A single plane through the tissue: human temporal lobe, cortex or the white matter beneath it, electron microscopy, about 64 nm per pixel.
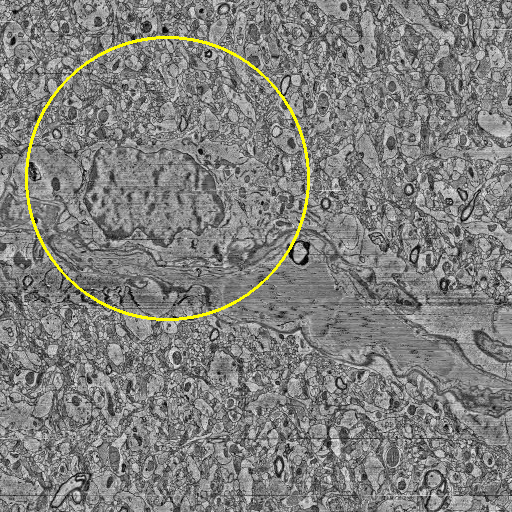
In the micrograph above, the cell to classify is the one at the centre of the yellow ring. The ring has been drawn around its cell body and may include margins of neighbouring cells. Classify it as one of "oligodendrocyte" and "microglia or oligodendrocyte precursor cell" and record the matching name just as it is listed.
microglia or oligodendrocyte precursor cell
